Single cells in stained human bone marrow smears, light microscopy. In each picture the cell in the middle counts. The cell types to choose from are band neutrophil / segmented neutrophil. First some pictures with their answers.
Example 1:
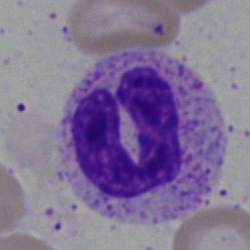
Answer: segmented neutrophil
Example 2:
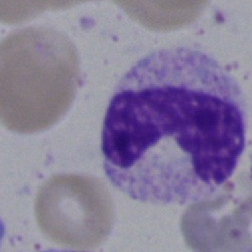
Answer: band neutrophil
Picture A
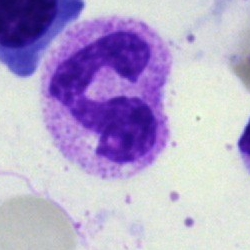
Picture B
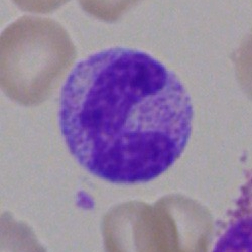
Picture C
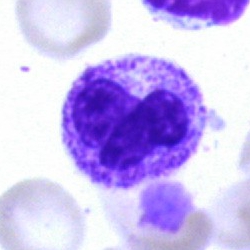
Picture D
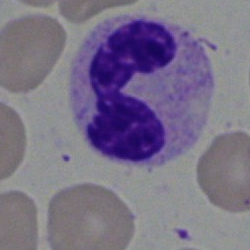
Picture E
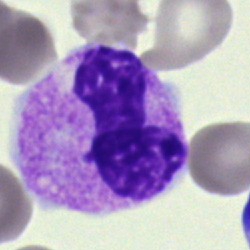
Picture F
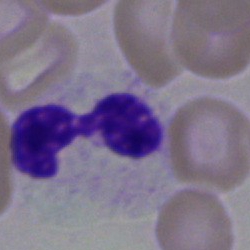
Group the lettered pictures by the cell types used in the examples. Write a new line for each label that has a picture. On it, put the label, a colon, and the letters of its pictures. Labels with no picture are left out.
band neutrophil: B, C, D, E
segmented neutrophil: A, F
